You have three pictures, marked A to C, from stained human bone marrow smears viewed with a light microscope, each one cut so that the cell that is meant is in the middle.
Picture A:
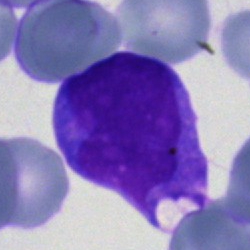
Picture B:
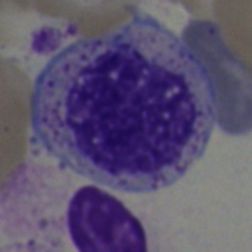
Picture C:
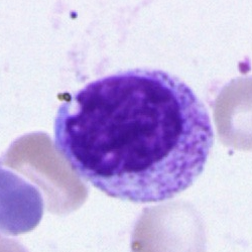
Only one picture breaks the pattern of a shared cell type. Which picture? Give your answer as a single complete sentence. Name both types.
Picture A is the odd one out: it shows a blast, while the others show myelocytes.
